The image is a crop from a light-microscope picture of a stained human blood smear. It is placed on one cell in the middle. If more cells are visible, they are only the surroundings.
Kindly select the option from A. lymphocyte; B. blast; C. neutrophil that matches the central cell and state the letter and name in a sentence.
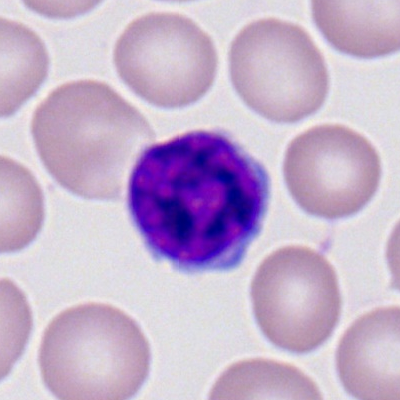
Option A holds up: the cell in the middle is a lymphocyte.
